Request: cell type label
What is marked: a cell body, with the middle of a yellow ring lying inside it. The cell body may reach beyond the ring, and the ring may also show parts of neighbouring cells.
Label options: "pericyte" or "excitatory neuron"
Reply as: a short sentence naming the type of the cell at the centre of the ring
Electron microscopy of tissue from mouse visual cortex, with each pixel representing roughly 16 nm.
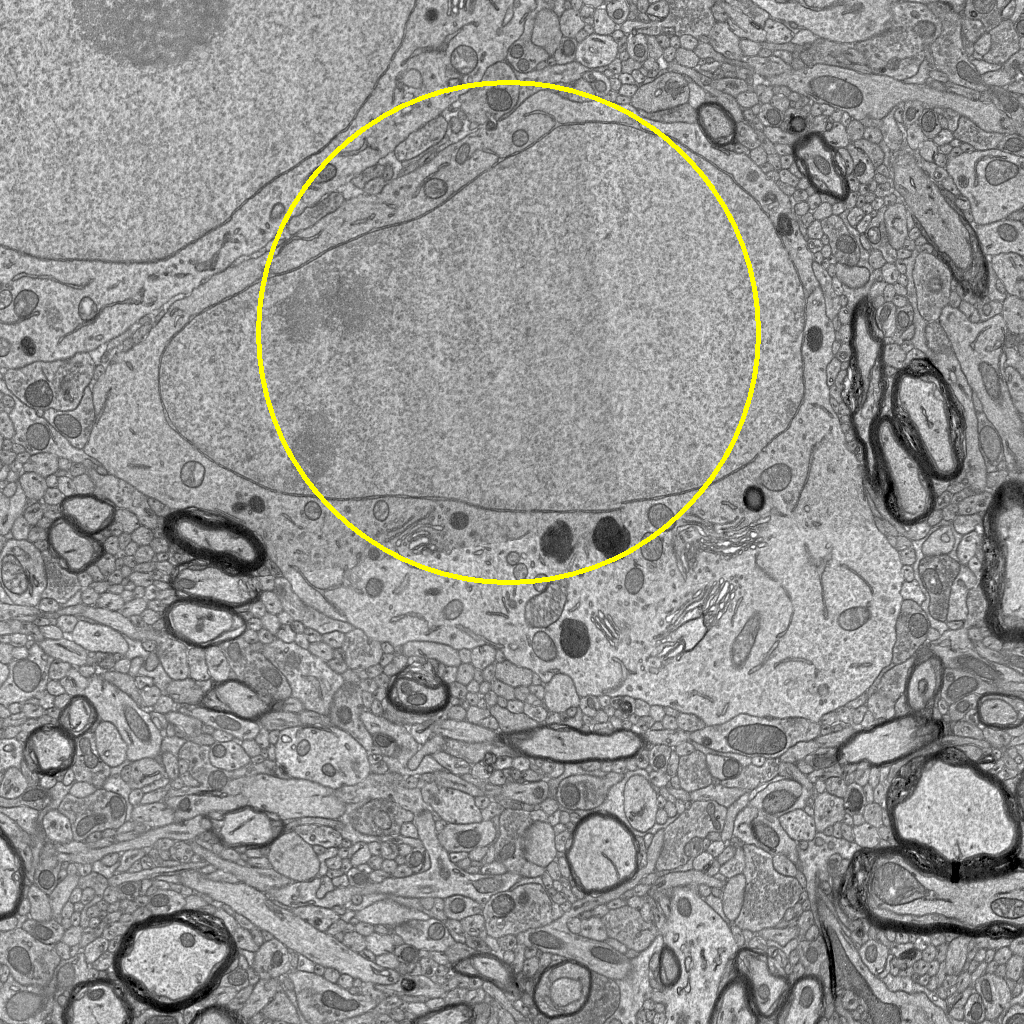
The marked cell body is that of an excitatory neuron.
